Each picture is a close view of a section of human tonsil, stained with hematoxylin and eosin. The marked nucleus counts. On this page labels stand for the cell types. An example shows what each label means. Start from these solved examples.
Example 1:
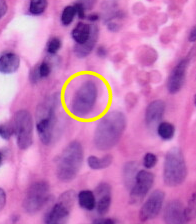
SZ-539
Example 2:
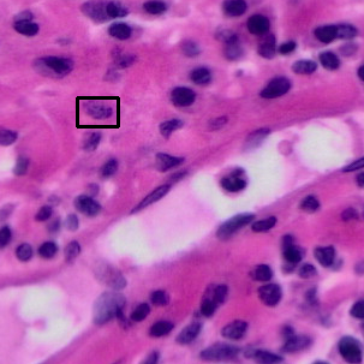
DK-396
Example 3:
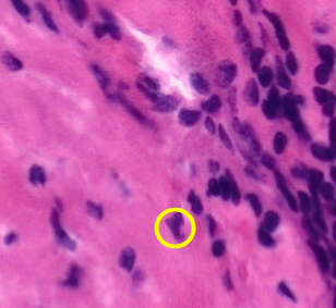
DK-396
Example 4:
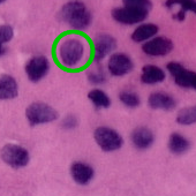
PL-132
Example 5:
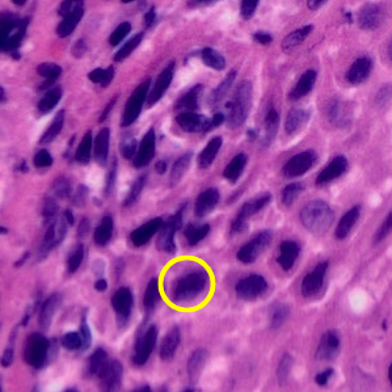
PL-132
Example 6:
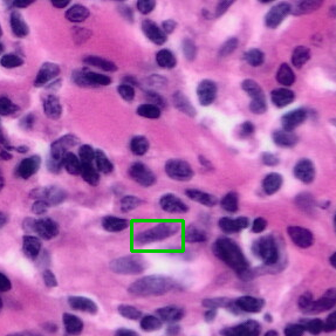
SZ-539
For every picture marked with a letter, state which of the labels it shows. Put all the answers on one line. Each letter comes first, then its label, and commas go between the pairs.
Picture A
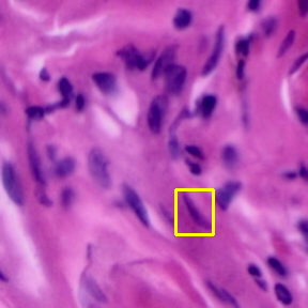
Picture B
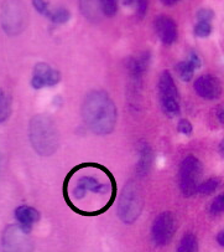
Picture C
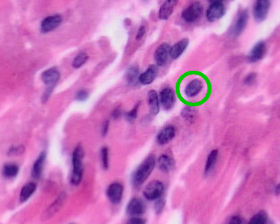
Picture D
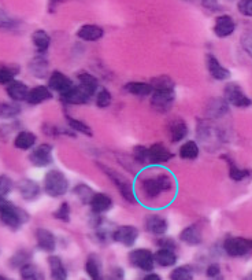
A SZ-539, B PL-132, C DK-396, D SZ-539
